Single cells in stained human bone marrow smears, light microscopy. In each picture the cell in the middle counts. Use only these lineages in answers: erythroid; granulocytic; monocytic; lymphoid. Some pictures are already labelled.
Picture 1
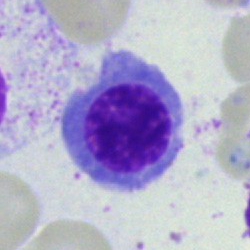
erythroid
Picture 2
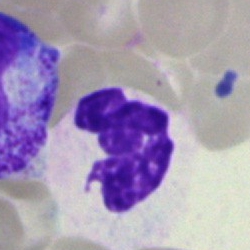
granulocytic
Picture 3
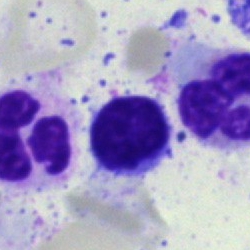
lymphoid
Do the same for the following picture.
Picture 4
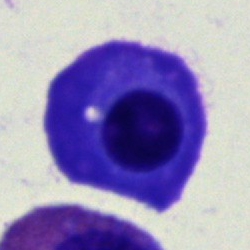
lymphoid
